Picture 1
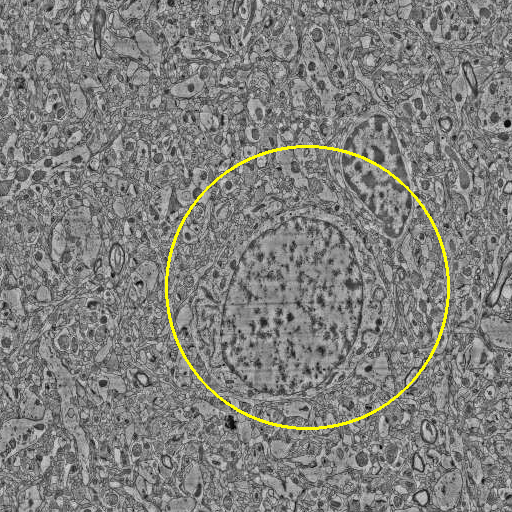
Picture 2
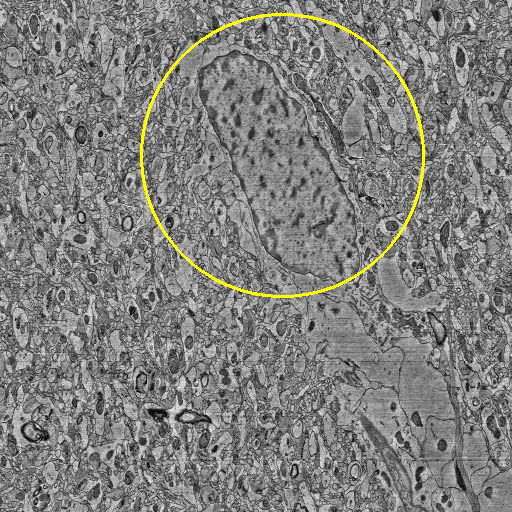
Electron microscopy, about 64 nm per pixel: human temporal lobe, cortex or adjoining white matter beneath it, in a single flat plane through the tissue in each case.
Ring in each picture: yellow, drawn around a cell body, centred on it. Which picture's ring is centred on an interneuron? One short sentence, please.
Picture 1 is the one.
